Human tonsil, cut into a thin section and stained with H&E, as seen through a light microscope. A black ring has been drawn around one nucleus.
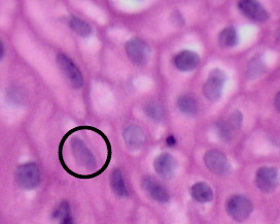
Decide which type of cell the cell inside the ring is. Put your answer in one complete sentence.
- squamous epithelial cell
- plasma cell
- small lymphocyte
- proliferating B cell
The expected answer is simply that the cell inside the ring is a squamous epithelial cell.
